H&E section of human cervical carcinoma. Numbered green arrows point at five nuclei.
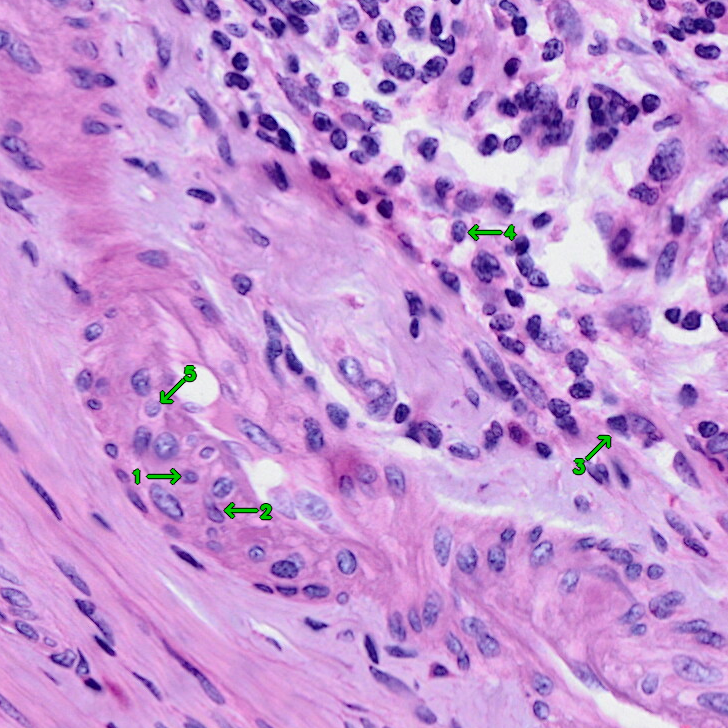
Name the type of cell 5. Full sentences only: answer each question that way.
The numbered cell 5 is identified here as a smooth muscle cell.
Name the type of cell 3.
The expected answer is that cell 3 is a lymphocyte.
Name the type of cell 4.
The cell assigned the number 4 is a lymphocyte.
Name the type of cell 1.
The cell pointed out as number 1 is a smooth muscle cell.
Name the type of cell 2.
The cell numbered 2 represents a smooth muscle cell.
